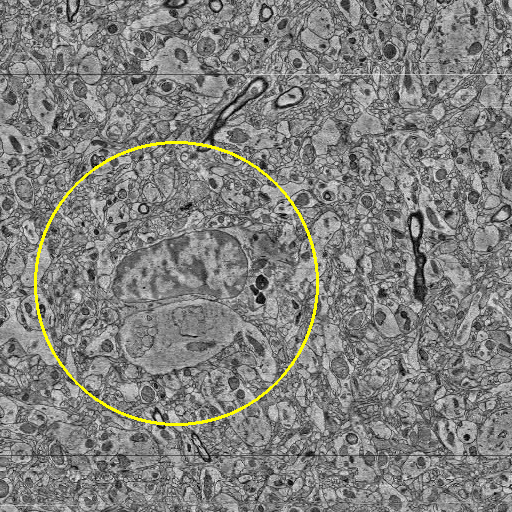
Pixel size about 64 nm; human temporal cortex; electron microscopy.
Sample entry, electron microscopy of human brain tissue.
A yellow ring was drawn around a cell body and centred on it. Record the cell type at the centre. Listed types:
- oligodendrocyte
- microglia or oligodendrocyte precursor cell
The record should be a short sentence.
The cell at the ring's centre is a microglial cell or oligodendrocyte precursor cell.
